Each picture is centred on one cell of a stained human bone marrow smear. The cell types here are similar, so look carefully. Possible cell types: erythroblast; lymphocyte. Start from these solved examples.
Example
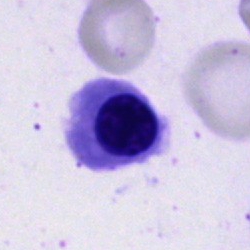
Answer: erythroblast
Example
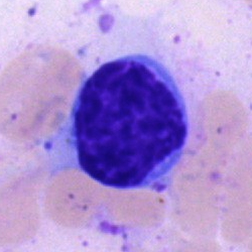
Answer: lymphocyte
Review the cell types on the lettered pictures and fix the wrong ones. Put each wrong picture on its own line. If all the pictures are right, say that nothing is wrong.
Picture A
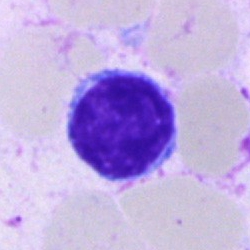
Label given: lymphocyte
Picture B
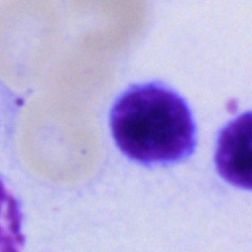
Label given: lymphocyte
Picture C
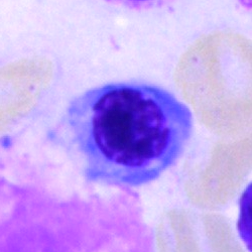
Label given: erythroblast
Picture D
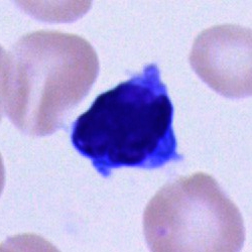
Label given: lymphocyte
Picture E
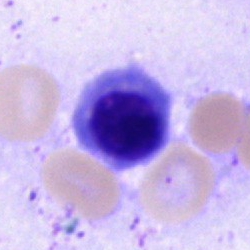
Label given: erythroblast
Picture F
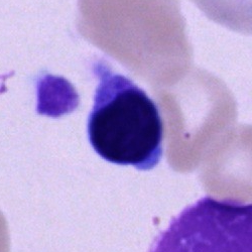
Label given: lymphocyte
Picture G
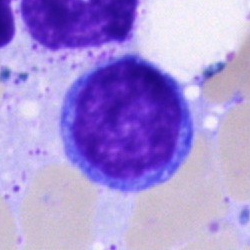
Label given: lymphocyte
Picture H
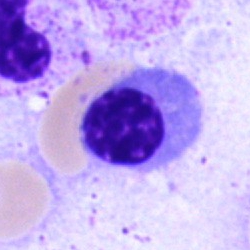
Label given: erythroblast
Nothing to fix; every label fits.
